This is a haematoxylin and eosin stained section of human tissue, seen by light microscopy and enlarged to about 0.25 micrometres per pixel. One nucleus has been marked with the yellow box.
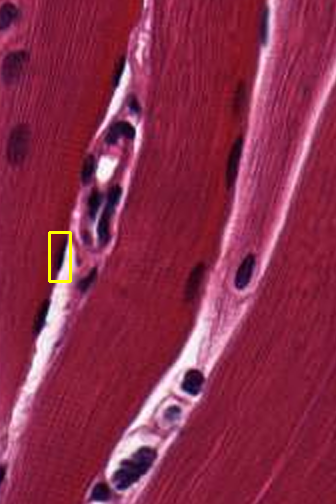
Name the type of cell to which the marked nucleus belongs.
skeletal muscle fibre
